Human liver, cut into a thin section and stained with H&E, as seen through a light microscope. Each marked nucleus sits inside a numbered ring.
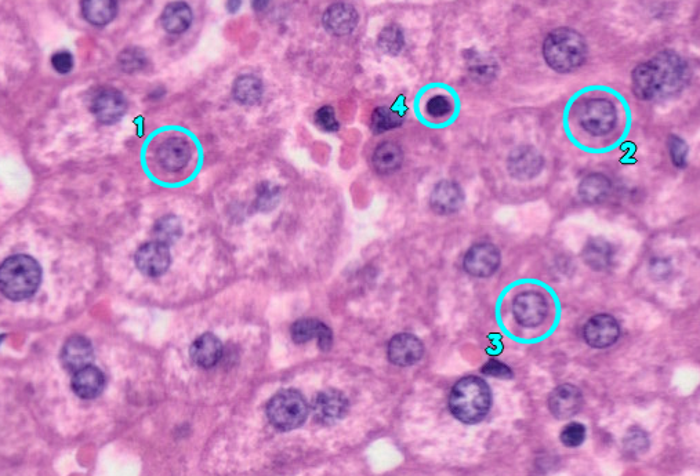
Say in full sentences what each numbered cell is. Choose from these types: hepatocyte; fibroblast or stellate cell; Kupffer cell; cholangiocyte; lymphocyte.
Cells 1, 2 and 3 are hepatocytes. Cell 4 is a lymphocyte.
